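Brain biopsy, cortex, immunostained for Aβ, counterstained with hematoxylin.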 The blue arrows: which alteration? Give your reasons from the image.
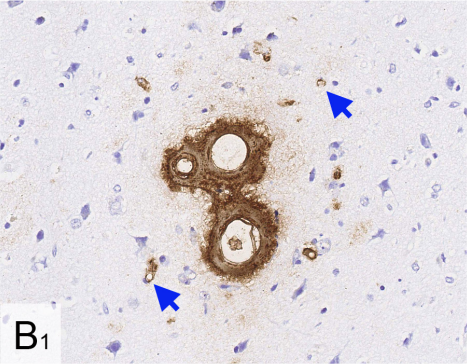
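The arrowed structures are tiny vessel profiles with brown-stained walls. They lie in the cortical parenchyma apart from the large stained vessels.
Answer: capillary amyloid angiopathy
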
